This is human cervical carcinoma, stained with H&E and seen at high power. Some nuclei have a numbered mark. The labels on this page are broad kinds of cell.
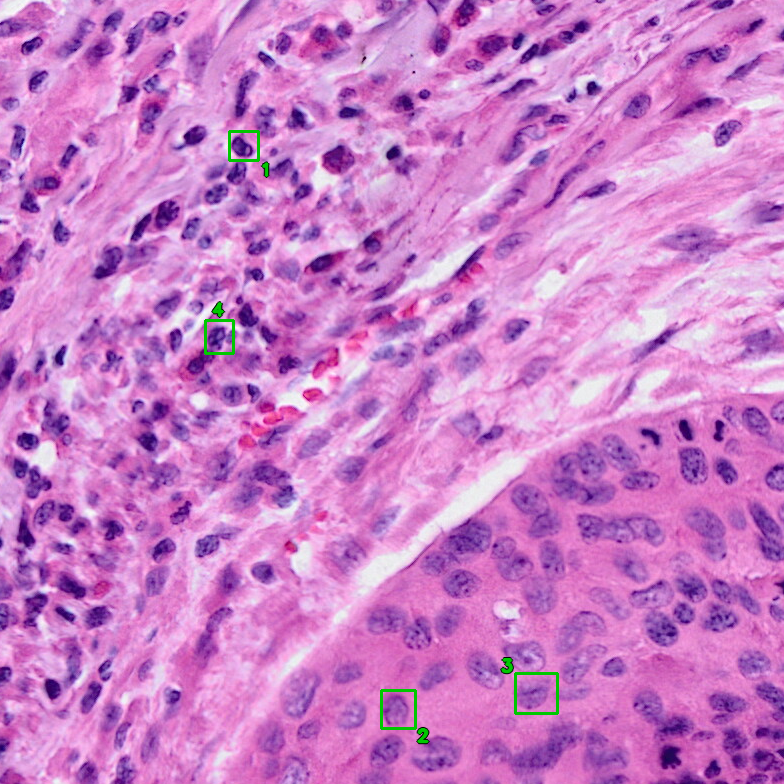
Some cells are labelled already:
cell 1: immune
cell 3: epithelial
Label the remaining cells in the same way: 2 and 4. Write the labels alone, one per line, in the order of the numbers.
epithelial
immune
